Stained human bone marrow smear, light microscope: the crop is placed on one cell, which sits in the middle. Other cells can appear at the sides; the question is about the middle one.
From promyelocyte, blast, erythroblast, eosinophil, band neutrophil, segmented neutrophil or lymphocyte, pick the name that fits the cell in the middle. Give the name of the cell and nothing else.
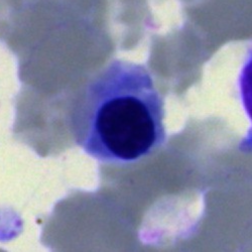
erythroblast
